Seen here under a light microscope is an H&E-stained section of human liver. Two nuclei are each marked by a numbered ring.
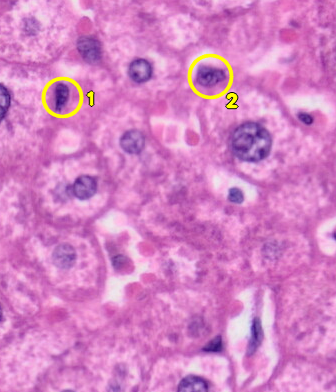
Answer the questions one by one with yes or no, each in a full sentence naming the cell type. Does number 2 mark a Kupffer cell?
Yes, the numbered nucleus 2 is that of a Kupffer cell.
